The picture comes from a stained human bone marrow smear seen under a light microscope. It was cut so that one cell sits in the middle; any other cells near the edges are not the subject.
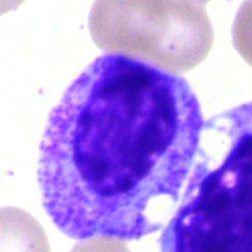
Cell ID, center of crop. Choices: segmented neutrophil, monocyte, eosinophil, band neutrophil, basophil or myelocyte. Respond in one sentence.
This crop has a myelocyte at its centre.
